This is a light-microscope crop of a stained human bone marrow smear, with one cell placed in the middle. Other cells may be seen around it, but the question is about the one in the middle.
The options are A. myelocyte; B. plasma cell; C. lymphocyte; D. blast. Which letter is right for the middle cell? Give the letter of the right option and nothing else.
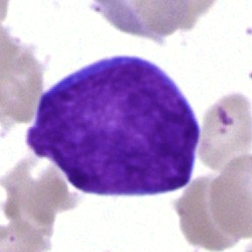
D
